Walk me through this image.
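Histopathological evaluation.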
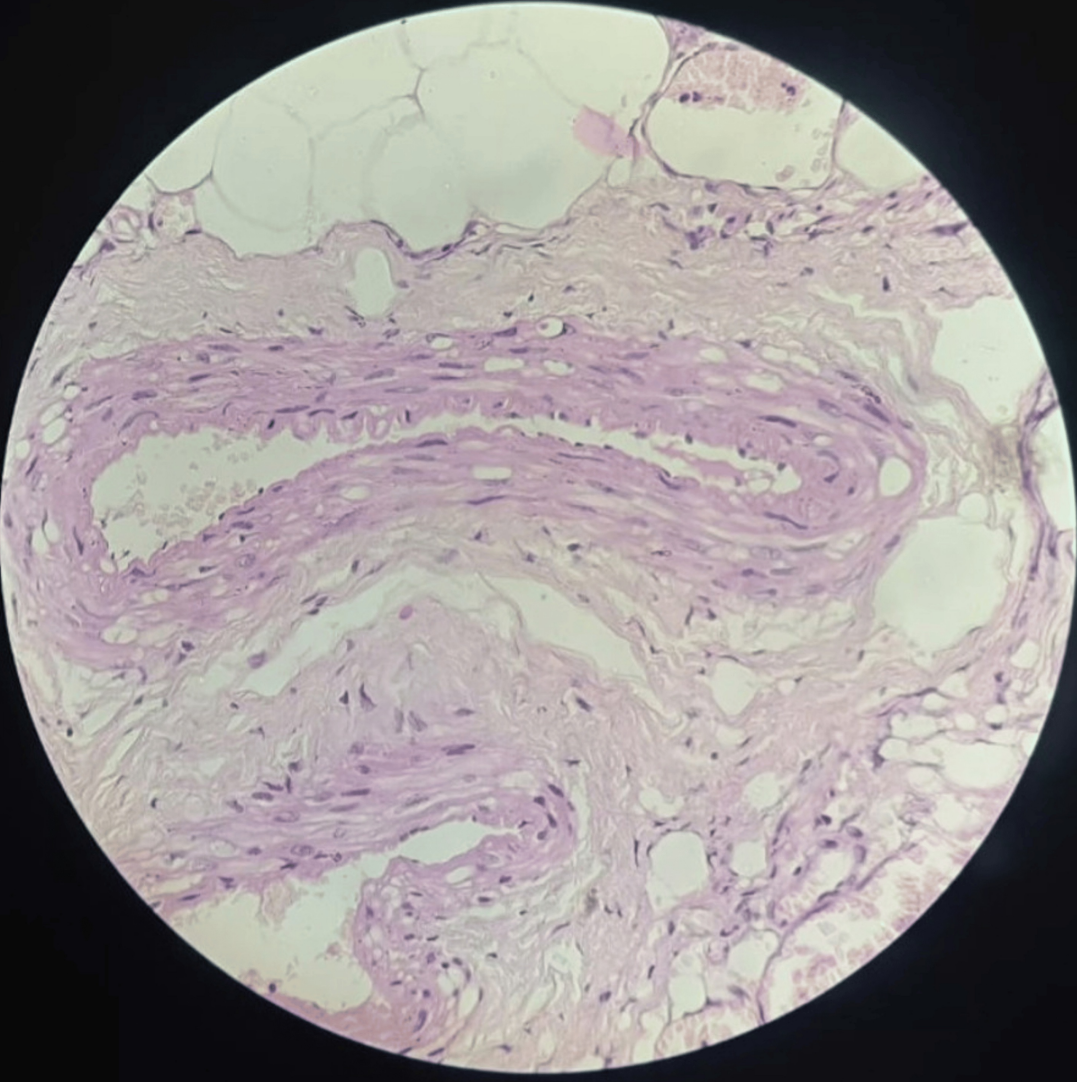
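This section shows fibrous connective tissue with adipose tissue at its edges. At the top and right lie large, clear, rounded spaces separated by thin pink rims; these are fat cells whose contents have dissolved out, leaving only flattened nuclei pressed against their borders. Across the middle run two elongated, curving bands of densely packed pink tissue, made of spindle-shaped cells with long, dark, wavy nuclei. Each band surrounds a narrow slit-like clear channel, and a few small red cells lie within the channel on the left. Around these bands is looser, paler pink fibrous tissue with scattered small nuclei and many small empty gaps.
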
